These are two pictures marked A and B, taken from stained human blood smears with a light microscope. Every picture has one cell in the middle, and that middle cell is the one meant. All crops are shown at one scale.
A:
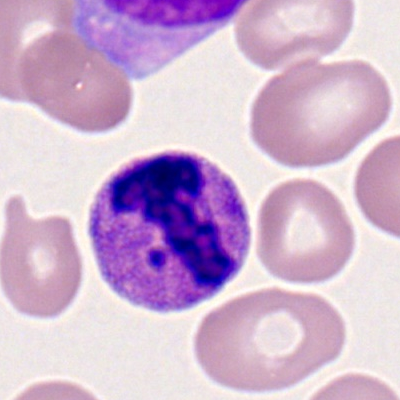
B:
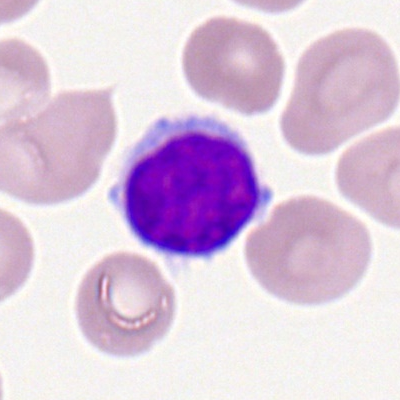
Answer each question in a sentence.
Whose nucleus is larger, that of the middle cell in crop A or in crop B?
The nucleus in crop B is larger, with about 1.5 times the area of the one in crop A.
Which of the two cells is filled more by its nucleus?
It is the cell in crop B that is filled more by its nucleus.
